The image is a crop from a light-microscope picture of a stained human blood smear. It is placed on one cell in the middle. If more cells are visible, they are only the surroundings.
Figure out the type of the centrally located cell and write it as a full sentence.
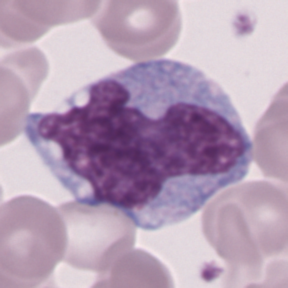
The middle of this crop is occupied by a monocyte.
